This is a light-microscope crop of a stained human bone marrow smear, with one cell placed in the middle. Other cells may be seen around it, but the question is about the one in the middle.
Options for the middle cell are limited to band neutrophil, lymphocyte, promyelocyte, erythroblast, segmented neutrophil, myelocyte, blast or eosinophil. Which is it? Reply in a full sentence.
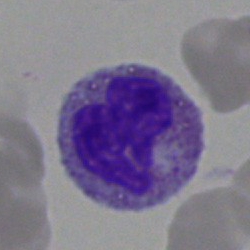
The cell marked by its central position in the crop is an eosinophil.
